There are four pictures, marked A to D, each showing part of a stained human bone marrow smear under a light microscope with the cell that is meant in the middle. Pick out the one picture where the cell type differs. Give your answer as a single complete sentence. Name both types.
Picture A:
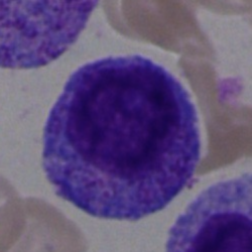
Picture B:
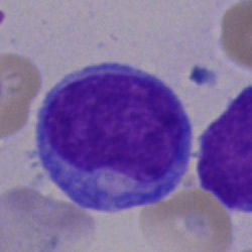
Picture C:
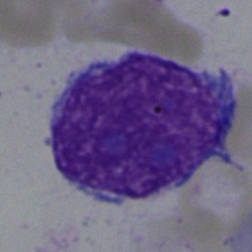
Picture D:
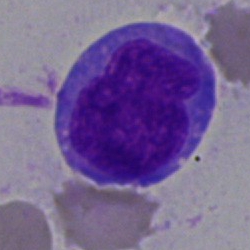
The different one is picture A; it shows a myelocyte, whereas all the others show blasts.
